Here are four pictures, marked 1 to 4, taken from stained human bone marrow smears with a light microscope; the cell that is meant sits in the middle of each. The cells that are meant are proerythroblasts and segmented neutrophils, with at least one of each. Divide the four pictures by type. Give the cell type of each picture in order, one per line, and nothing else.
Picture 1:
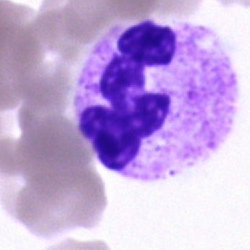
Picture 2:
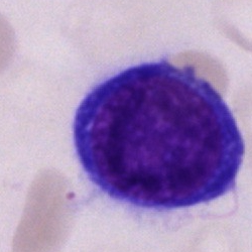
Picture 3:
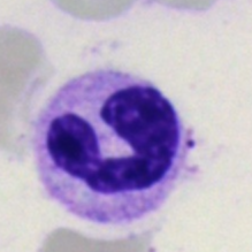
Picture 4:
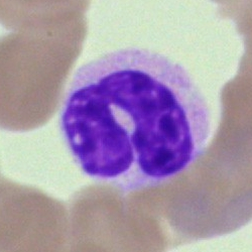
segmented neutrophil
proerythroblast
segmented neutrophil
segmented neutrophil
